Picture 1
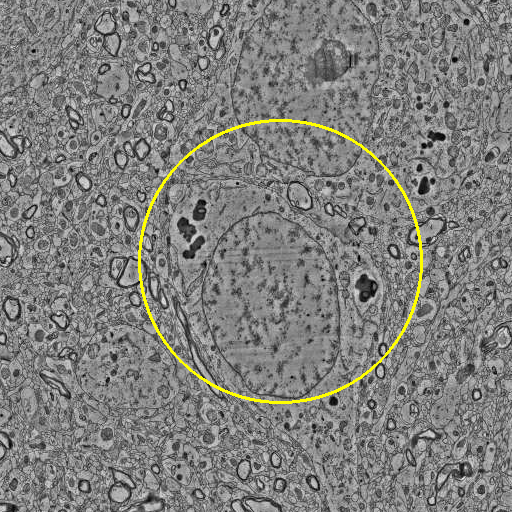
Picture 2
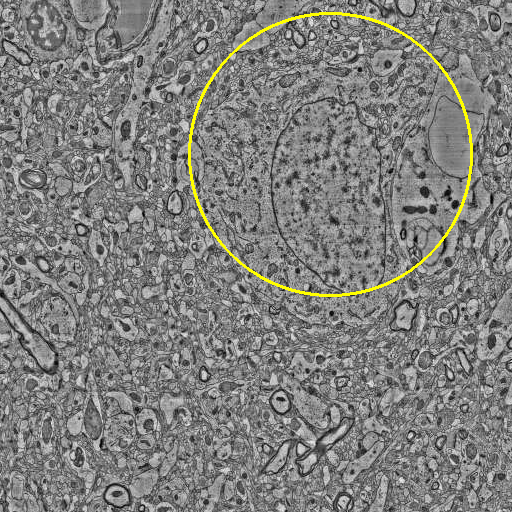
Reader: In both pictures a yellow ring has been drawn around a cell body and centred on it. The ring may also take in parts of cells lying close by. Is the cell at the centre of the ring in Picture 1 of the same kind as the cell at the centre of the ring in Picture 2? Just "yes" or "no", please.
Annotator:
yes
